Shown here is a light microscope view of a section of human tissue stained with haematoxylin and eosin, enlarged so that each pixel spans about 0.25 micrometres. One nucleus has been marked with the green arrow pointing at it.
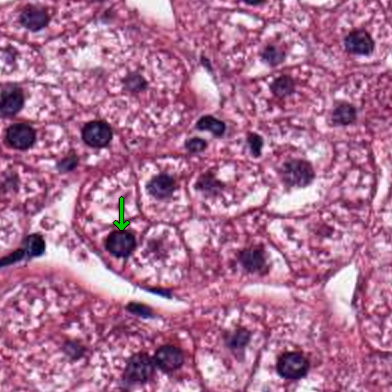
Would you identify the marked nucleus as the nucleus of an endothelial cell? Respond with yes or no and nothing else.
no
